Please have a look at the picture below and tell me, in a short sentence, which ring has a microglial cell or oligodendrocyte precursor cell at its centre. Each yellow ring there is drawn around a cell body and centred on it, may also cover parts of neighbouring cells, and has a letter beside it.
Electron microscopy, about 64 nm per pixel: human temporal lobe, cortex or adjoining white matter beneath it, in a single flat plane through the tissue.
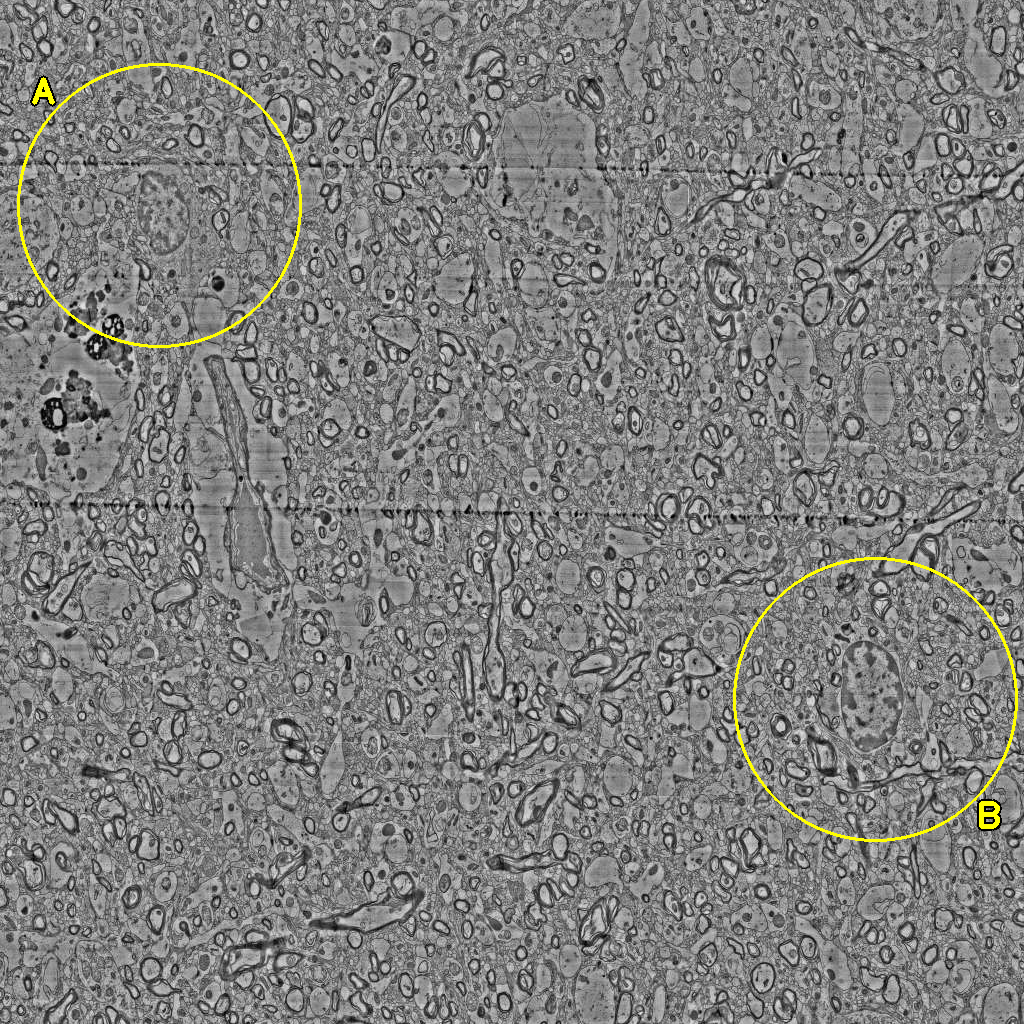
Ring B is centred on it.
